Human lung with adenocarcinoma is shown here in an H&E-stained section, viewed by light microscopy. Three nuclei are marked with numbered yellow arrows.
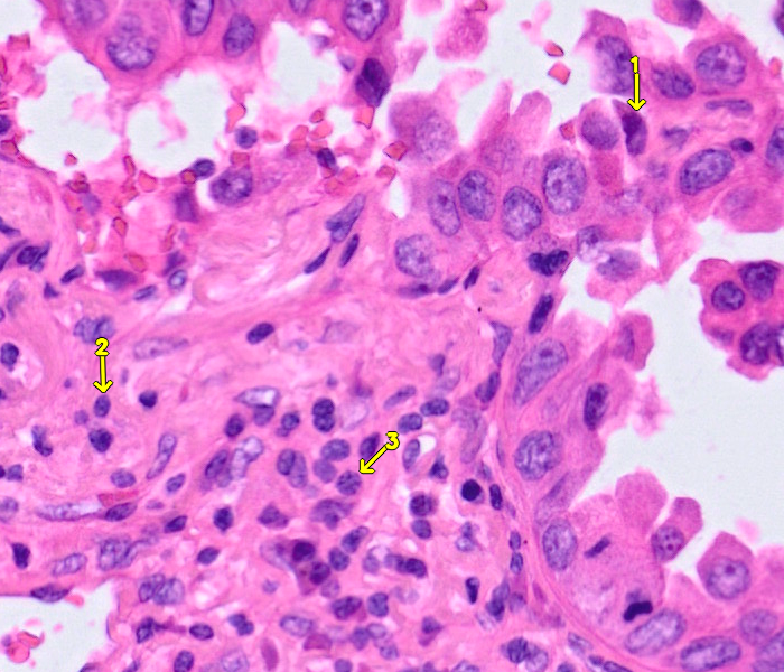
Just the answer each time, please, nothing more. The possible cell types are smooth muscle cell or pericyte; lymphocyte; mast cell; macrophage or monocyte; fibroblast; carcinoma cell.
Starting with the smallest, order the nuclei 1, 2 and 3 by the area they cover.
2, 3, 1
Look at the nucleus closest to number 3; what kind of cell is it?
lymphocyte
